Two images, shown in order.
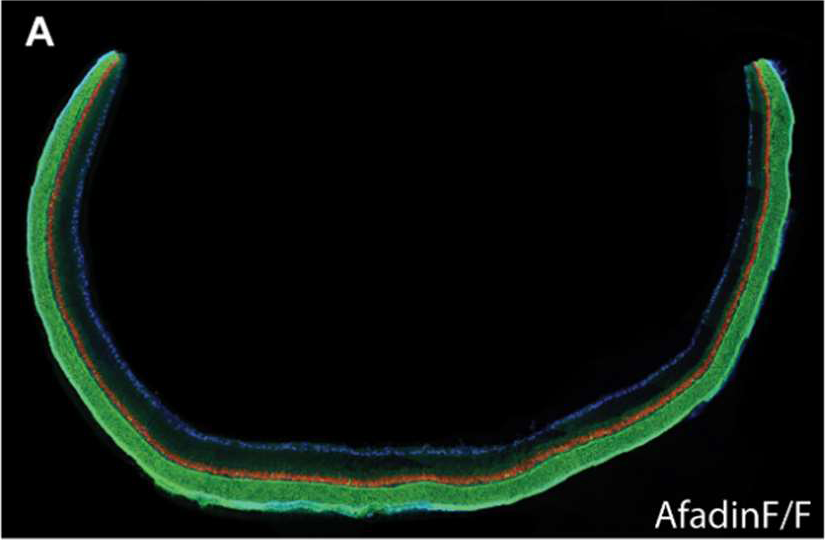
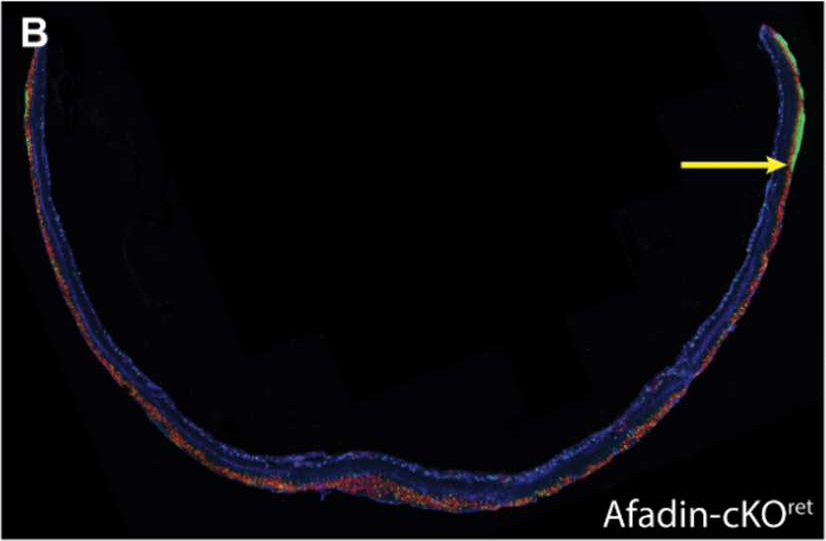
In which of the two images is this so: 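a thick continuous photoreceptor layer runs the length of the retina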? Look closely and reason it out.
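The first image. Second image: the retina is thin and the green layer is missing except for a small patch near one end. First image: a broad green layer runs continuously along the whole curved retina.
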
